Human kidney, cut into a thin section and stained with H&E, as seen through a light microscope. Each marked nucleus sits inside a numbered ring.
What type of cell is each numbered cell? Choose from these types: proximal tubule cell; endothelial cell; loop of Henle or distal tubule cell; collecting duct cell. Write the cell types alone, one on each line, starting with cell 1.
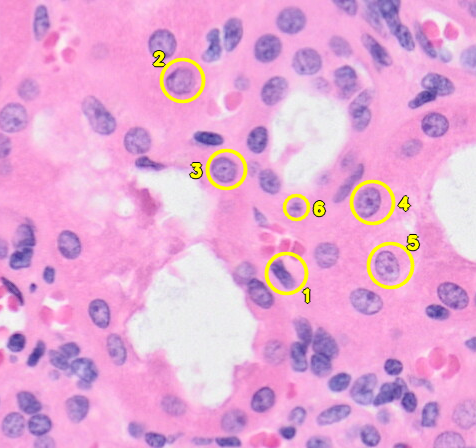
endothelial cell
proximal tubule cell
proximal tubule cell
proximal tubule cell
proximal tubule cell
collecting duct cell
